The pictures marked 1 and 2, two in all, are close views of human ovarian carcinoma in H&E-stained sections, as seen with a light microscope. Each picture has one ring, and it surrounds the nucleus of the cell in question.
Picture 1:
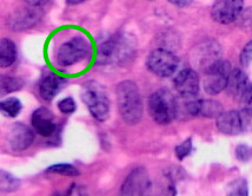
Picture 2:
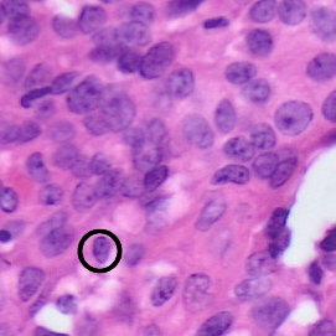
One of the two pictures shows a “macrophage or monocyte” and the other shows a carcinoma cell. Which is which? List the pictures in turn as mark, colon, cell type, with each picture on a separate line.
1: carcinoma cell
2: macrophage or monocyte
